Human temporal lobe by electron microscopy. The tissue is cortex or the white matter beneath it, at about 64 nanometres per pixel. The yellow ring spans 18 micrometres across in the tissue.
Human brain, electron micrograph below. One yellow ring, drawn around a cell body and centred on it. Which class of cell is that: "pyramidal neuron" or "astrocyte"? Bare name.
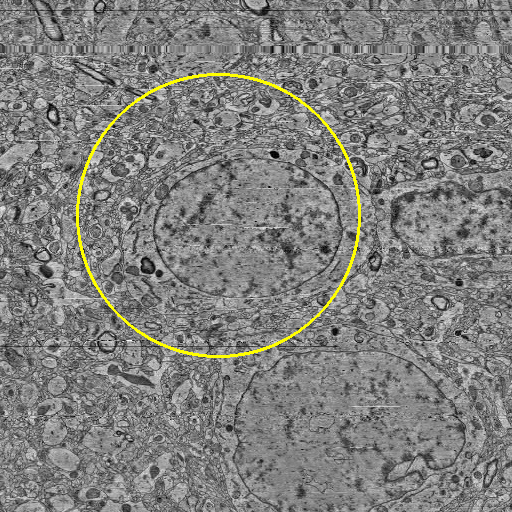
pyramidal neuron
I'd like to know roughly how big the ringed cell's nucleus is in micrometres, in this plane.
The nucleus is approximately 12 micrometers long by 10 micrometers wide in this plane.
